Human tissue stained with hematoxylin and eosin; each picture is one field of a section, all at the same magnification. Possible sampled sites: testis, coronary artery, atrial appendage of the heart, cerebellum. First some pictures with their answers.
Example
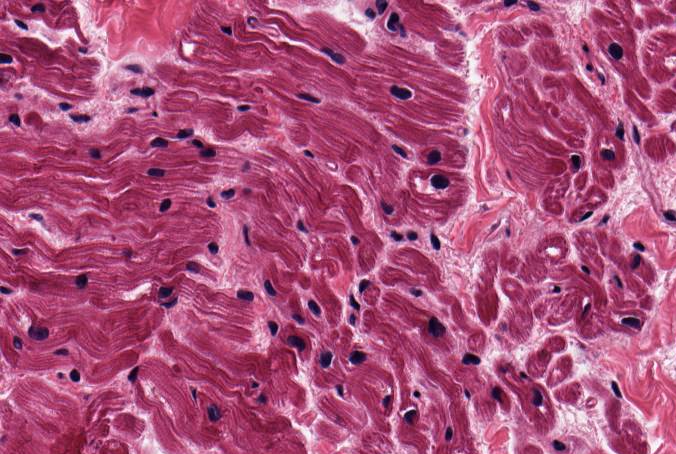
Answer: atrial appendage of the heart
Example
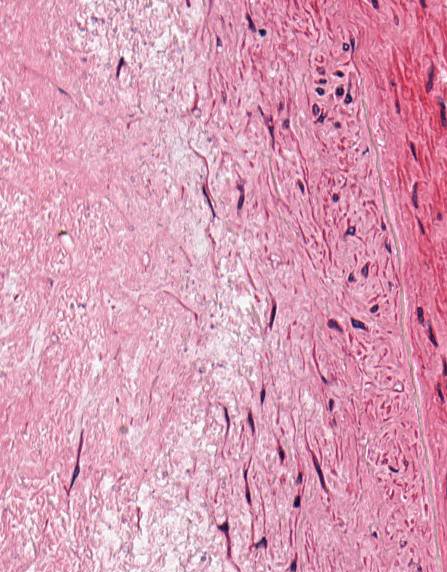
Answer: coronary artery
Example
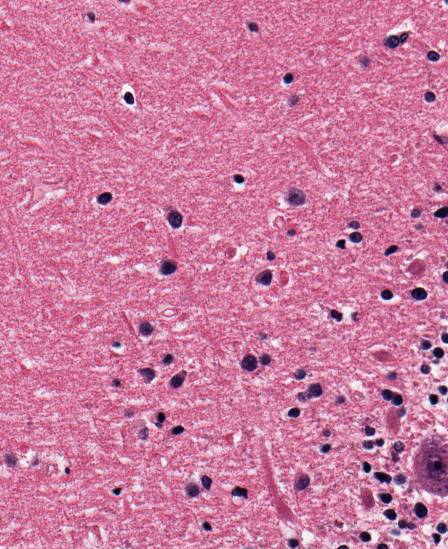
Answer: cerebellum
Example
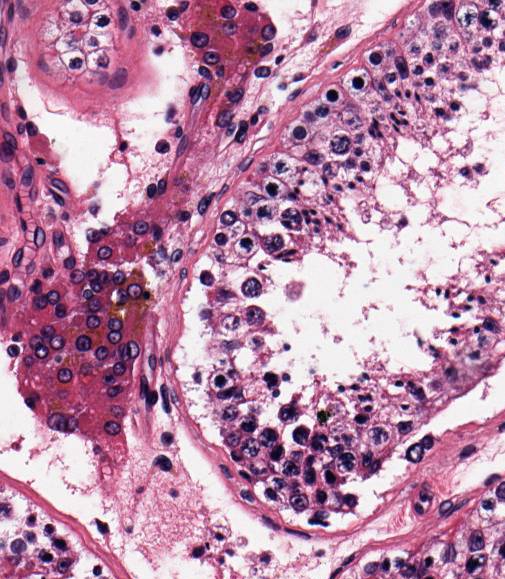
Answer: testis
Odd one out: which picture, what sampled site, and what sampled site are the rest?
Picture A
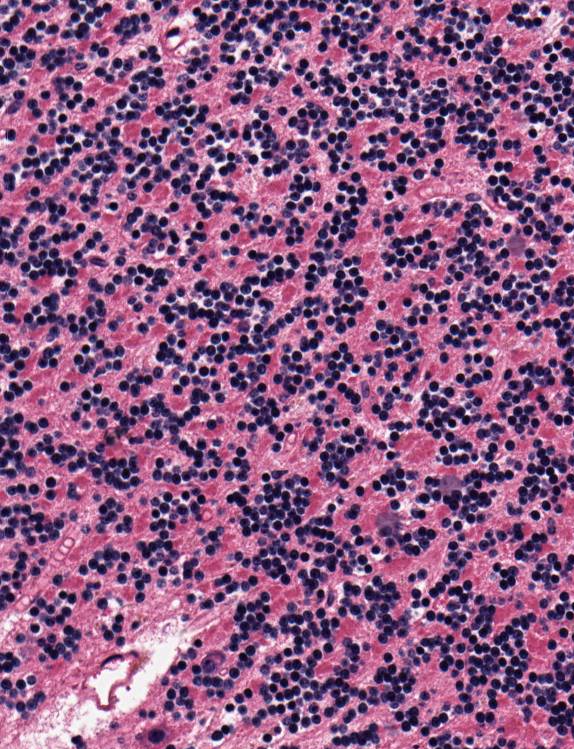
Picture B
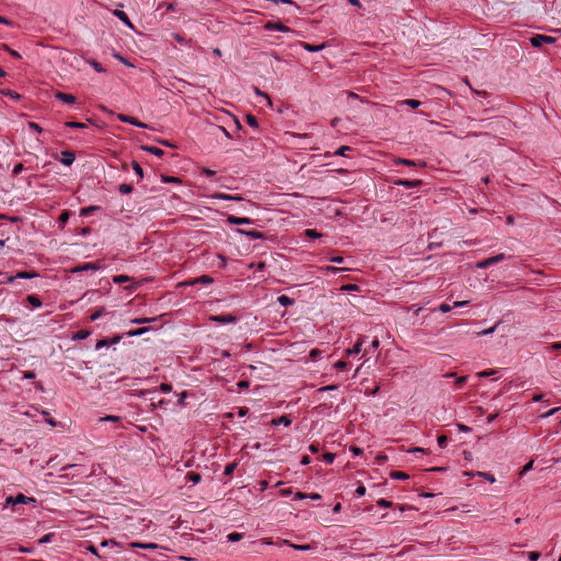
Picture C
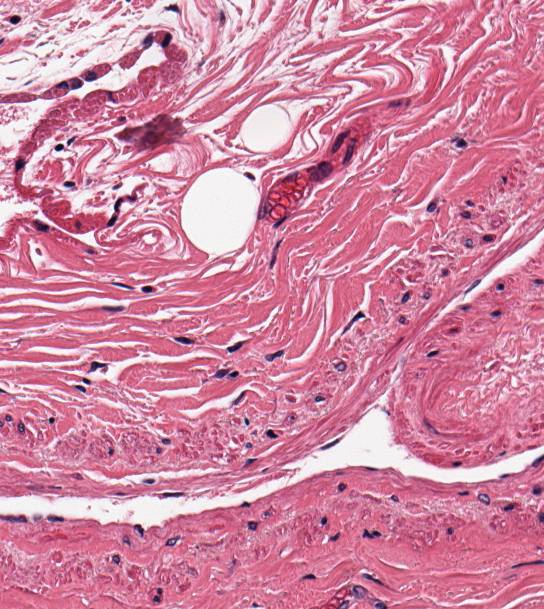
Picture A: cerebellum. All others: coronary artery.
